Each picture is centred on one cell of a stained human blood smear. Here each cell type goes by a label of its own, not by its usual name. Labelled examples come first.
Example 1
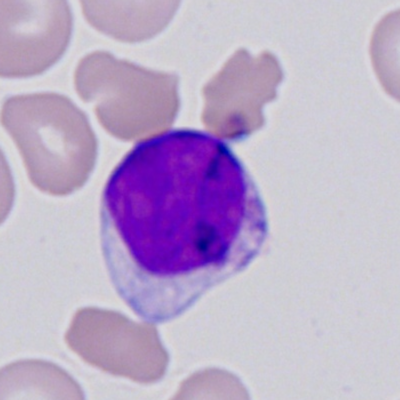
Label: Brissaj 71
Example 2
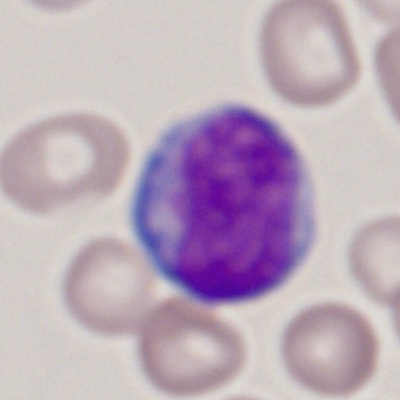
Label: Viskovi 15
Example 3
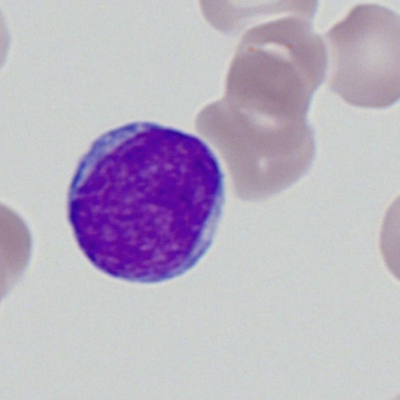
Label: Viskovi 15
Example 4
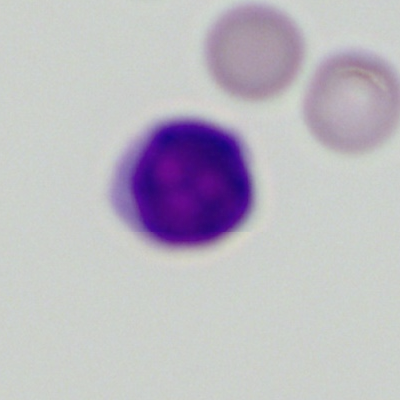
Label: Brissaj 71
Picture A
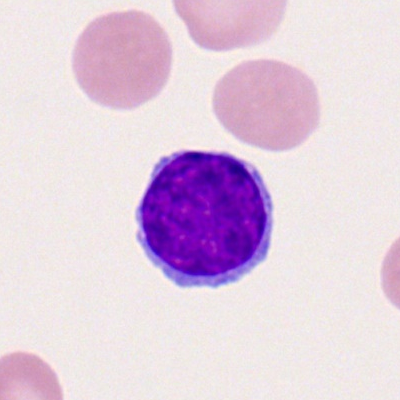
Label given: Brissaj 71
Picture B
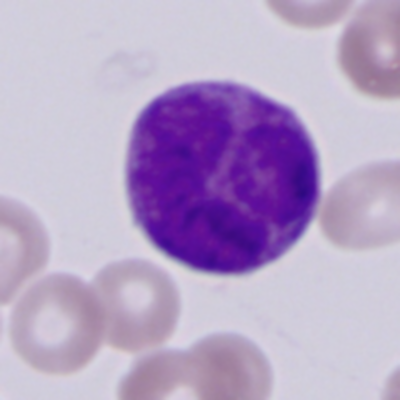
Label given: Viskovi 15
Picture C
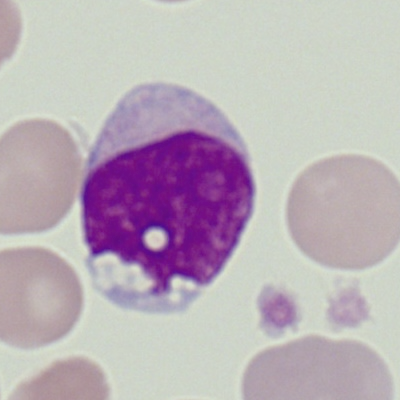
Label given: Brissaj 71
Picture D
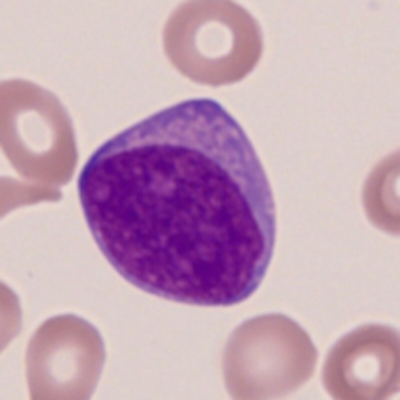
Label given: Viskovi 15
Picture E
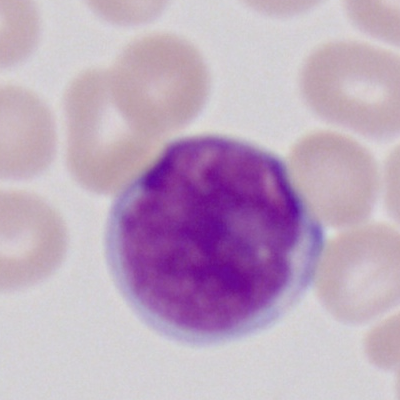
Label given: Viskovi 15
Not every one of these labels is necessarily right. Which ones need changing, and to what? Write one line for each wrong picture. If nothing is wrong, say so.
C: change Brissaj 71 to Viskovi 15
